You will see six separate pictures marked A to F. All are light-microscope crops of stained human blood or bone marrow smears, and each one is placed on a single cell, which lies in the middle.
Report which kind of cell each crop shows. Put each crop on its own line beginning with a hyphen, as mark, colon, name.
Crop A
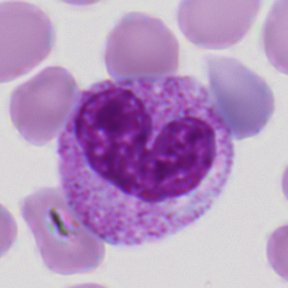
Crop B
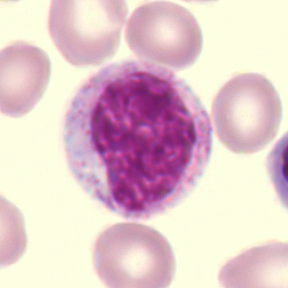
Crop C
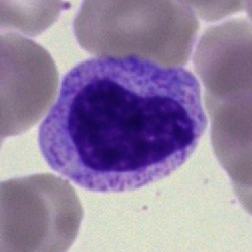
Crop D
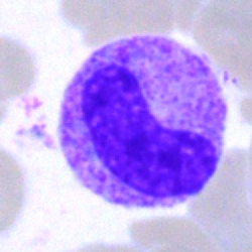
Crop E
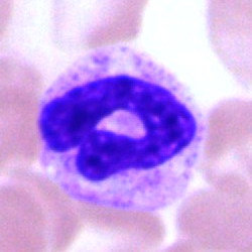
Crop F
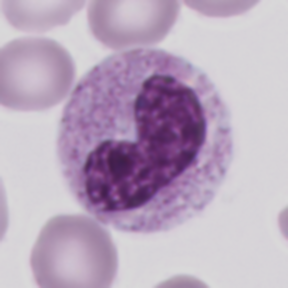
- A: band neutrophil
- B: metamyelocyte
- C: metamyelocyte
- D: band neutrophil
- E: band neutrophil
- F: band neutrophil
